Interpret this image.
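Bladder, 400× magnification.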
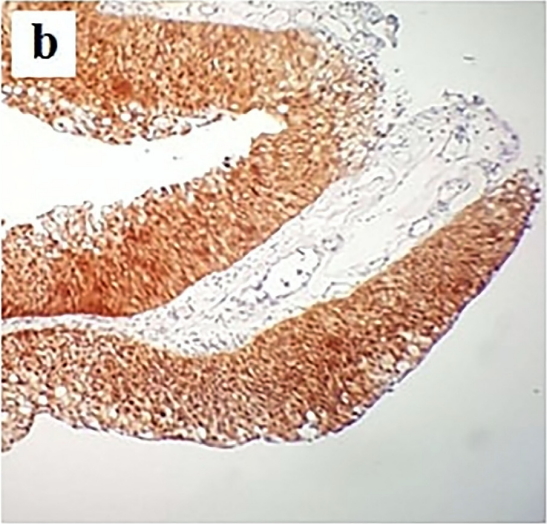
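Noninvasive tumour forming papillary fronds of thick, many-layered epithelium stained diffusely brown. Each frond rests on a slender, pale connective tissue core with small vessels, and the epithelium does not extend into the core.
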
